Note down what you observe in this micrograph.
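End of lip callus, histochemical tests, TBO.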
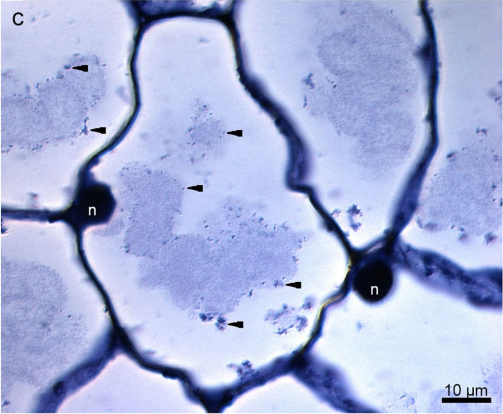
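Parenchyma cells in section, large and thin-walled, outlined by dark blue walls. Each cell is mostly clear, holding pale blue, finely granular masses of irregular outline that vary in size and shape from cell to cell. Small darker blue specks sit at the margins of and near these masses. Two dense, dark blue rounded bodies lie at the junctions of cell walls. Neighbouring cells hold similar pale granular masses, some larger and more compact, others smaller and scattered.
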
